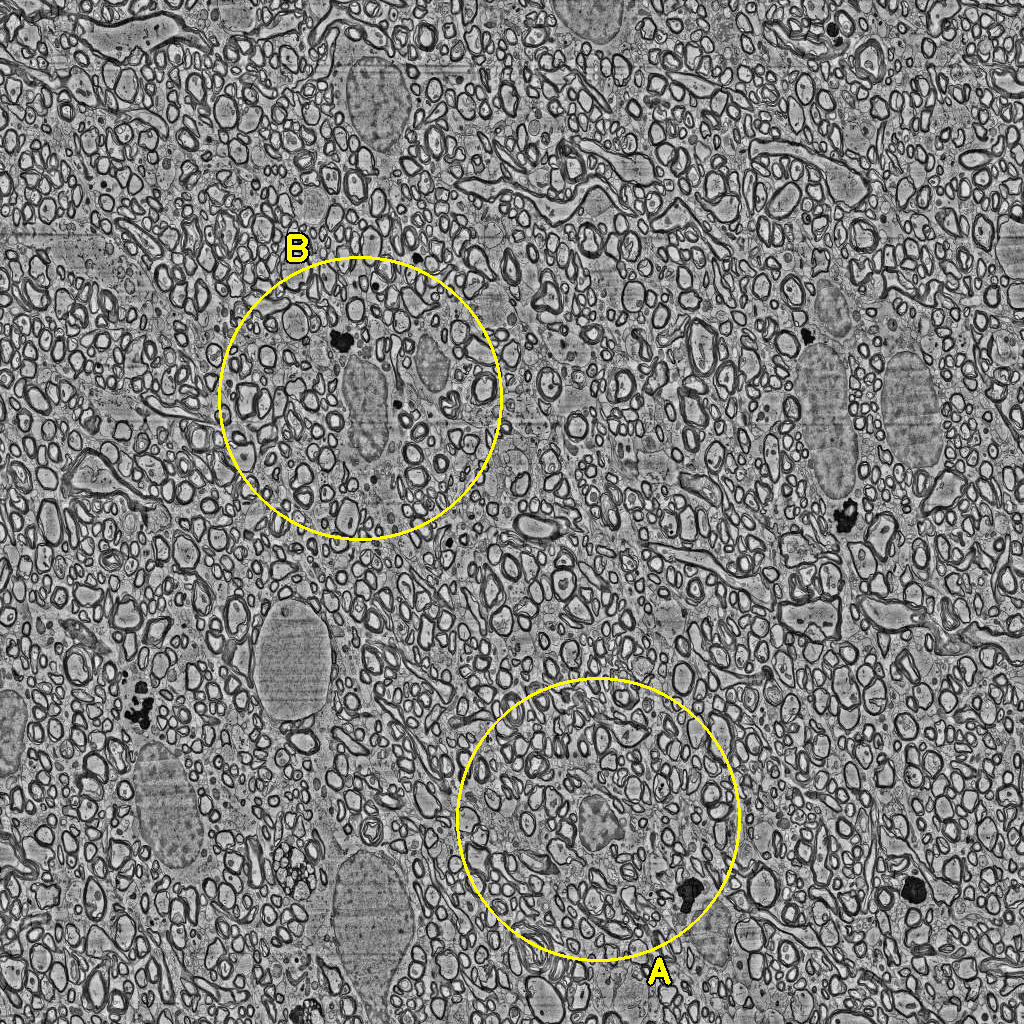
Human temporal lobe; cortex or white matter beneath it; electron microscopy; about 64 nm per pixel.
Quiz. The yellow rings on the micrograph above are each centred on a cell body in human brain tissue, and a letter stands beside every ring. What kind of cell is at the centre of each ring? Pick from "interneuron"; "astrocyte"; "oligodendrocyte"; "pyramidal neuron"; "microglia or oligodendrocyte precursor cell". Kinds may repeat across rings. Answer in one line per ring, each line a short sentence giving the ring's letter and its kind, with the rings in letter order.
The ring labelled A has a microglial cell or oligodendrocyte precursor cell at its centre.
The ring labelled B has an oligodendrocyte at its centre.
